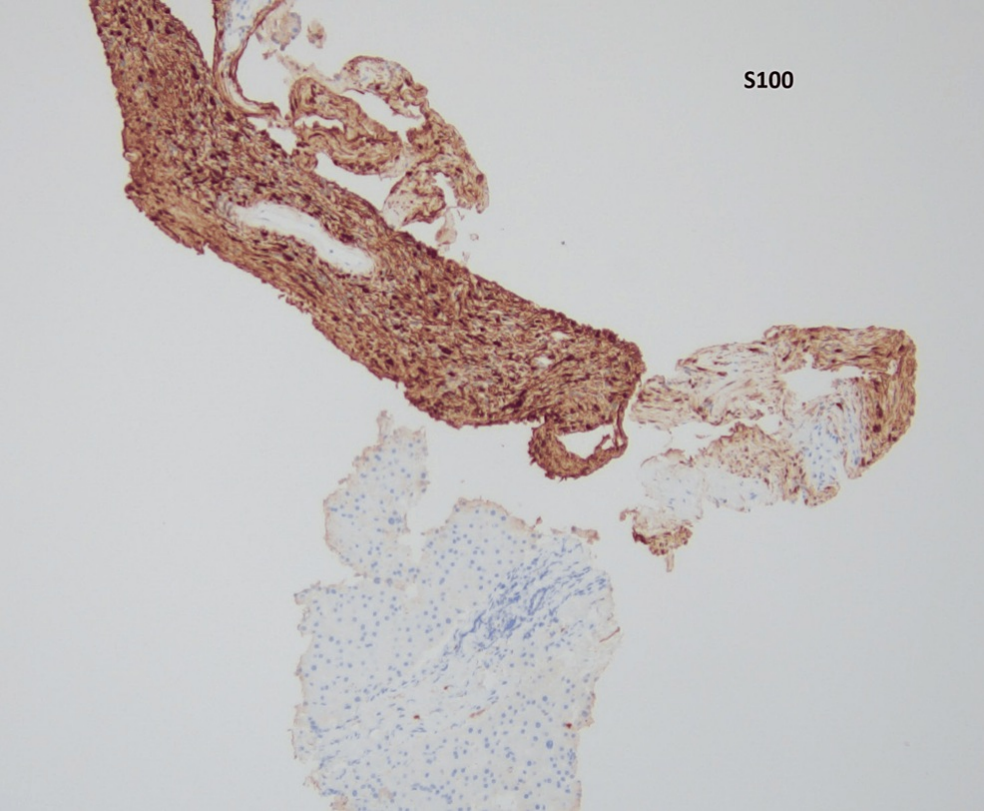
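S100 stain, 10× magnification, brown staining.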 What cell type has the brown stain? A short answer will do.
Tumor cells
